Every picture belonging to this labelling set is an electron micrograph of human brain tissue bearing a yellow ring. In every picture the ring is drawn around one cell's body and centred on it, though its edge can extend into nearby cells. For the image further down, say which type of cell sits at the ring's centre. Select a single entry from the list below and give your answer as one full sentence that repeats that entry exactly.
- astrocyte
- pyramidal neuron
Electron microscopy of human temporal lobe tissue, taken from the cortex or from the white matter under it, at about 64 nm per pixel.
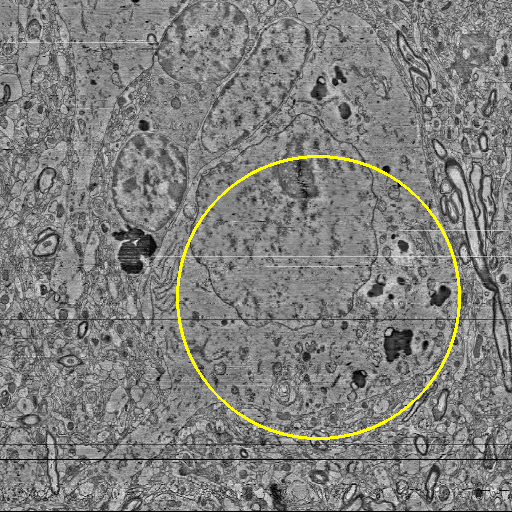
In the picture, a pyramidal neuron is the cell at the centre of the yellow ring.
